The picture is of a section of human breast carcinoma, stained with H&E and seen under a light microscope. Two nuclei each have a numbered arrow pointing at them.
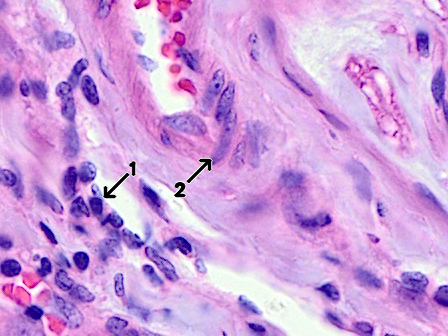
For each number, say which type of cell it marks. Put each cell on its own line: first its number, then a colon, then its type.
1: lymphocyte
2: endothelial cell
